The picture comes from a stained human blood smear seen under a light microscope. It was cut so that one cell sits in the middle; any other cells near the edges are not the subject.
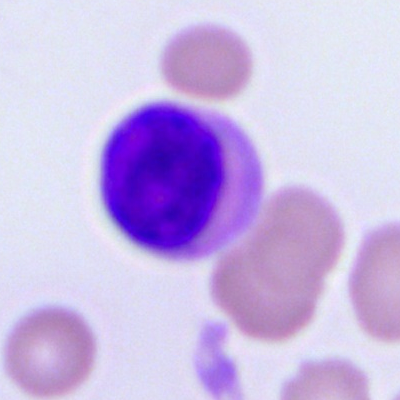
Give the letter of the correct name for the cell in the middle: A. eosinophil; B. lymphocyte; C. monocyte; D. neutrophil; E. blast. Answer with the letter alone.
B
